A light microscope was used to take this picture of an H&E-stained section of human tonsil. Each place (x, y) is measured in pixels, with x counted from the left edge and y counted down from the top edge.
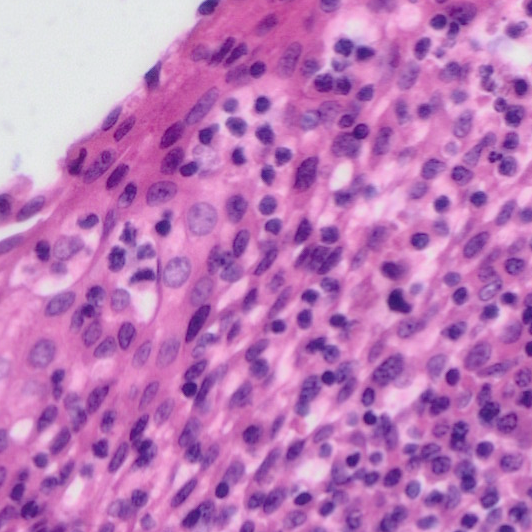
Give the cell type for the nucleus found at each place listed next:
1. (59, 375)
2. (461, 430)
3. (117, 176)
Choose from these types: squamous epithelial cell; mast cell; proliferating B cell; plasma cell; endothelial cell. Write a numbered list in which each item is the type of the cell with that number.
1. squamous epithelial cell
2. plasma cell
3. squamous epithelial cell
